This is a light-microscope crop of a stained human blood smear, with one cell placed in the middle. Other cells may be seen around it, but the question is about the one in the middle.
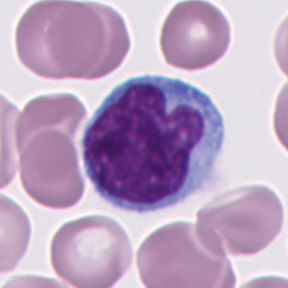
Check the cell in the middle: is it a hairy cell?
no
